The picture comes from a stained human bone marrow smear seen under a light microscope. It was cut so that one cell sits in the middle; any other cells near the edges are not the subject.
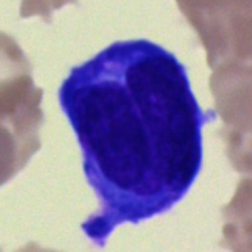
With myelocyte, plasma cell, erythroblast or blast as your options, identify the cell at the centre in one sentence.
Answering briefly, the cell in the middle is a blast.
